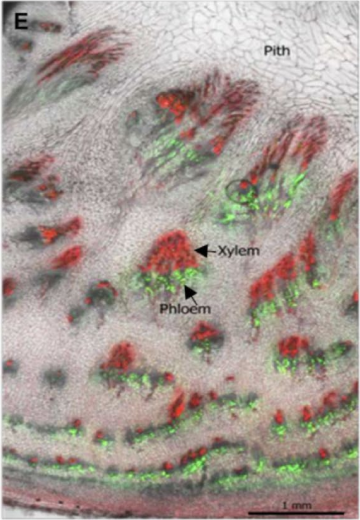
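Vascular bundles are arranged in radial rows and concentric rings through the parenchyma. The parenchyma between bundles consists of small thin-walled cells.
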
